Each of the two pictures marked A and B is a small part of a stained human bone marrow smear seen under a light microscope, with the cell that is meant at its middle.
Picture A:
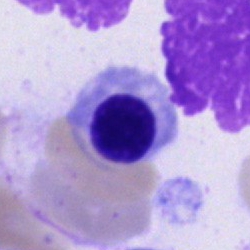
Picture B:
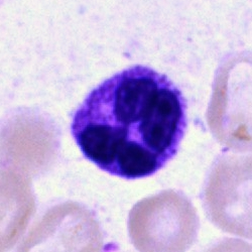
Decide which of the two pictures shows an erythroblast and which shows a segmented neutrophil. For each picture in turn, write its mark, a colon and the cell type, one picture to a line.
A: erythroblast
B: segmented neutrophil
